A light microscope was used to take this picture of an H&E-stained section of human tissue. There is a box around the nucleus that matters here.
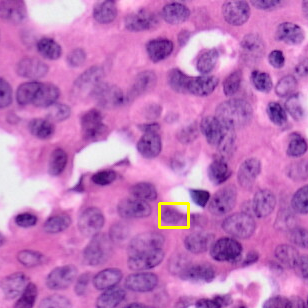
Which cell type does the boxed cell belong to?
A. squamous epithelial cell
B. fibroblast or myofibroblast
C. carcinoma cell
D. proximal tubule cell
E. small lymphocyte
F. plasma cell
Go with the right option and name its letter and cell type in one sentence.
Identified correctly by option C, the boxed cell is a carcinoma cell.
